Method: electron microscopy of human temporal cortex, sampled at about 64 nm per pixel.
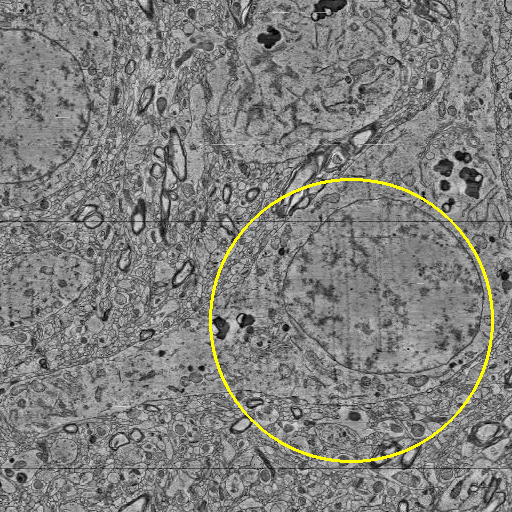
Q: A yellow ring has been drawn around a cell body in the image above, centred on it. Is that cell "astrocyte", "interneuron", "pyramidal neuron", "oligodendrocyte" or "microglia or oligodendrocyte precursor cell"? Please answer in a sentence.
The ring surrounds the cell body of a pyramidal neuron.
